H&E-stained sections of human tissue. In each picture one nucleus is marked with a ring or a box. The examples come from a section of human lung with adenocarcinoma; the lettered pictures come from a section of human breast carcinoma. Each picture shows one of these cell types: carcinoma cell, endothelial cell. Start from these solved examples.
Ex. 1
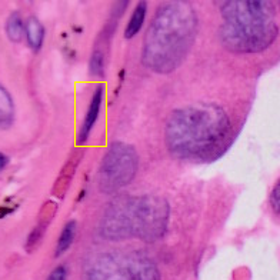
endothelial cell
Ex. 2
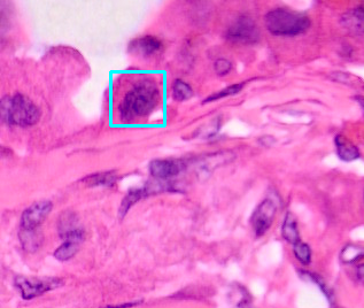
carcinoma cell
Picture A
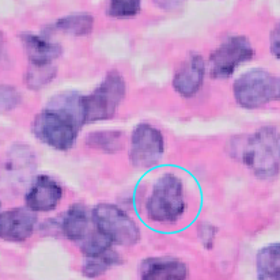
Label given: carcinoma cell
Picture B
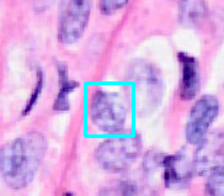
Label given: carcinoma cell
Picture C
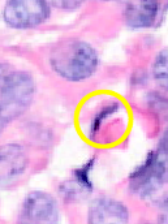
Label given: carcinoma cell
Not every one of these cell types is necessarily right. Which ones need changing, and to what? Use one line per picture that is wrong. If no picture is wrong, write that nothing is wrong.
C is labelled carcinoma cell; correct label: endothelial cell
